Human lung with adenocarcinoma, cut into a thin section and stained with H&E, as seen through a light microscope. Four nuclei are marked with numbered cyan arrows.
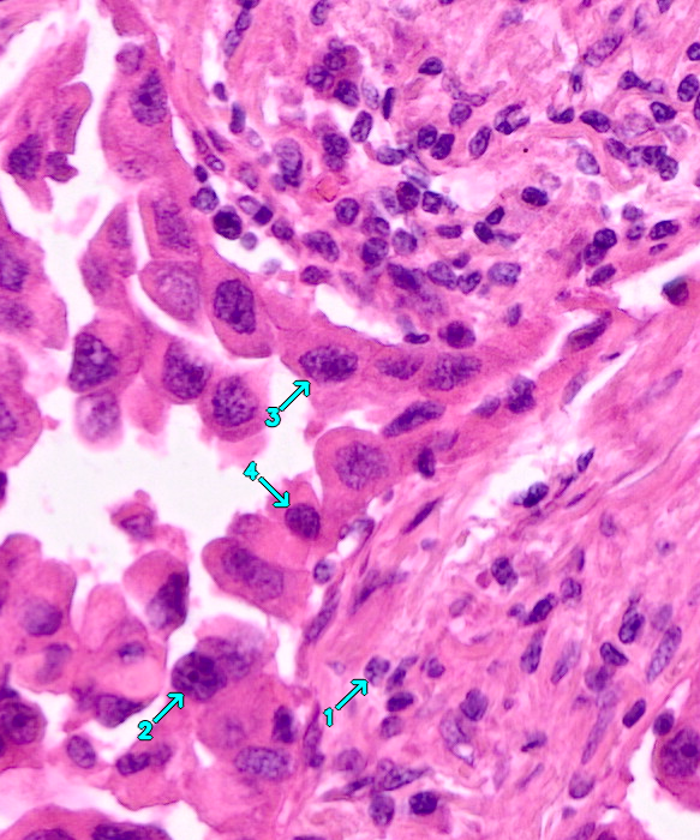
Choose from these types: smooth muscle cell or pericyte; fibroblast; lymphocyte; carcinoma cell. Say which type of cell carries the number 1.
lymphocyte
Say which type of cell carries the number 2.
carcinoma cell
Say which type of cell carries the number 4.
carcinoma cell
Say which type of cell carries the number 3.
carcinoma cell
